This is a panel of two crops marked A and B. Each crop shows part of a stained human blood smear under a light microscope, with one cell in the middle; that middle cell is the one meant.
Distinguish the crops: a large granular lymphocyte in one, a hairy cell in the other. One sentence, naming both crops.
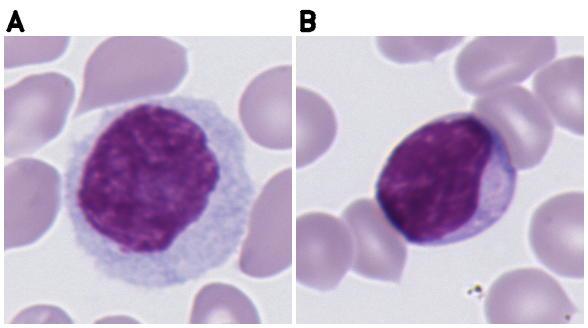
The cell in crop A is a hairy cell, whereas the cell in crop B is a large granular lymphocyte.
